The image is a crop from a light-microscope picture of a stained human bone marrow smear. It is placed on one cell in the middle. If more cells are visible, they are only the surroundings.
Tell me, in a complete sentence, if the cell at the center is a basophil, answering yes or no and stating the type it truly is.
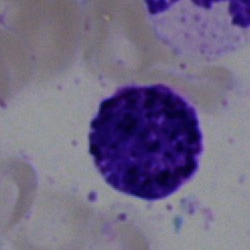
Yes, the cell in the middle of the view is a basophil.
